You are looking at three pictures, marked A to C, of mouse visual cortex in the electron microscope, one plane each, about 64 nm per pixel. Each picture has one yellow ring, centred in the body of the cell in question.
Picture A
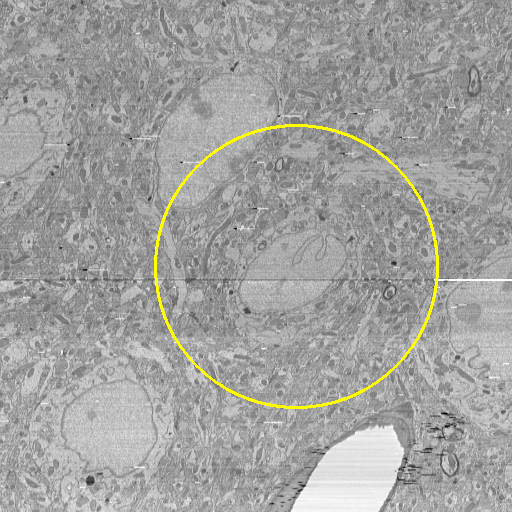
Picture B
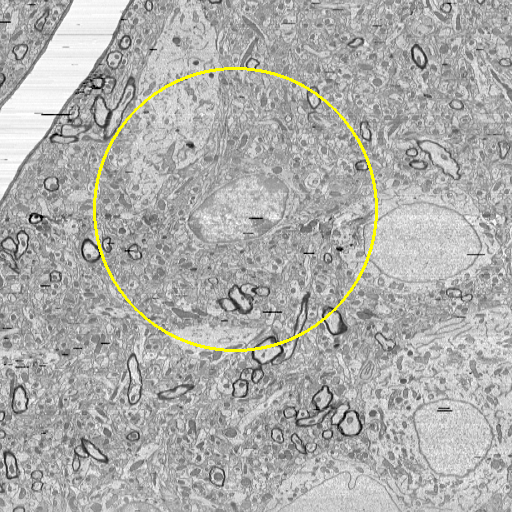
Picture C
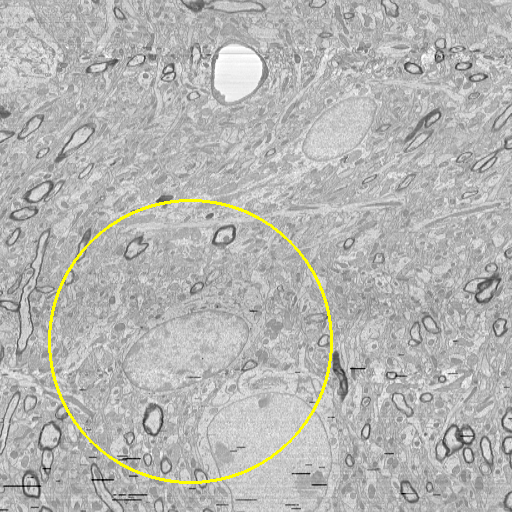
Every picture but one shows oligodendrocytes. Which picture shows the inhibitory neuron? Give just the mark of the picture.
A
